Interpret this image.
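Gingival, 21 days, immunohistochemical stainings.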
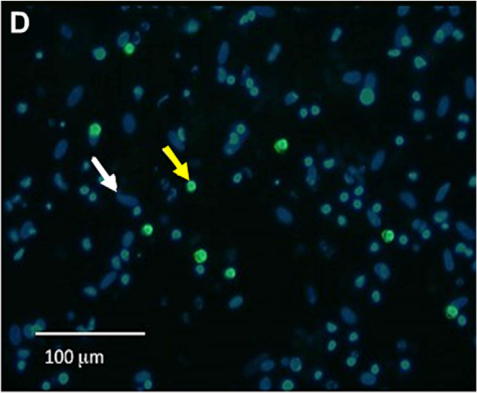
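Coculture of fibroblasts with small round mononuclear cells. Fibroblast nuclei are large, blue and oval to elongated, lying scattered and in places aligned. Smaller round nuclei lie between them, and a number of these small cells are brightly green, standing out as isolated round bodies.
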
